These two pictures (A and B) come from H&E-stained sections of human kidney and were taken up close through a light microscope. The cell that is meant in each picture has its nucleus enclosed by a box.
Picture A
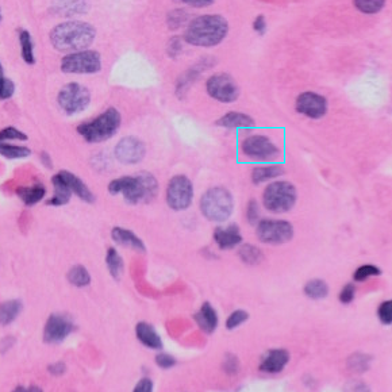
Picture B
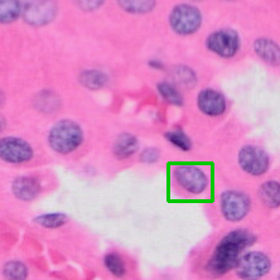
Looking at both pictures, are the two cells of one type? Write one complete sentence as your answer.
No, picture A shows a collecting duct cell and picture B shows a “loop of Henle or distal tubule cell”.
